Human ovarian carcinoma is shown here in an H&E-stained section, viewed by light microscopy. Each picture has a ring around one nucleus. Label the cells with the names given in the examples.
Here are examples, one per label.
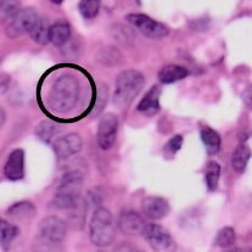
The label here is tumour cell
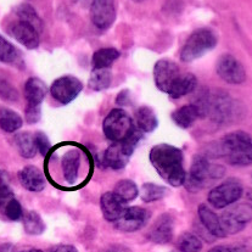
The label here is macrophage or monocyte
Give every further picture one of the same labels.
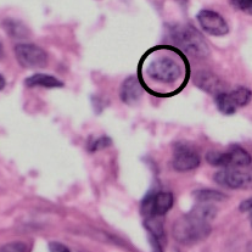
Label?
macrophage or monocyte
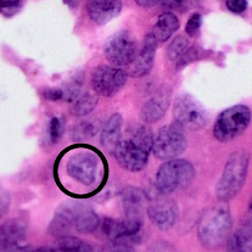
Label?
macrophage or monocyte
